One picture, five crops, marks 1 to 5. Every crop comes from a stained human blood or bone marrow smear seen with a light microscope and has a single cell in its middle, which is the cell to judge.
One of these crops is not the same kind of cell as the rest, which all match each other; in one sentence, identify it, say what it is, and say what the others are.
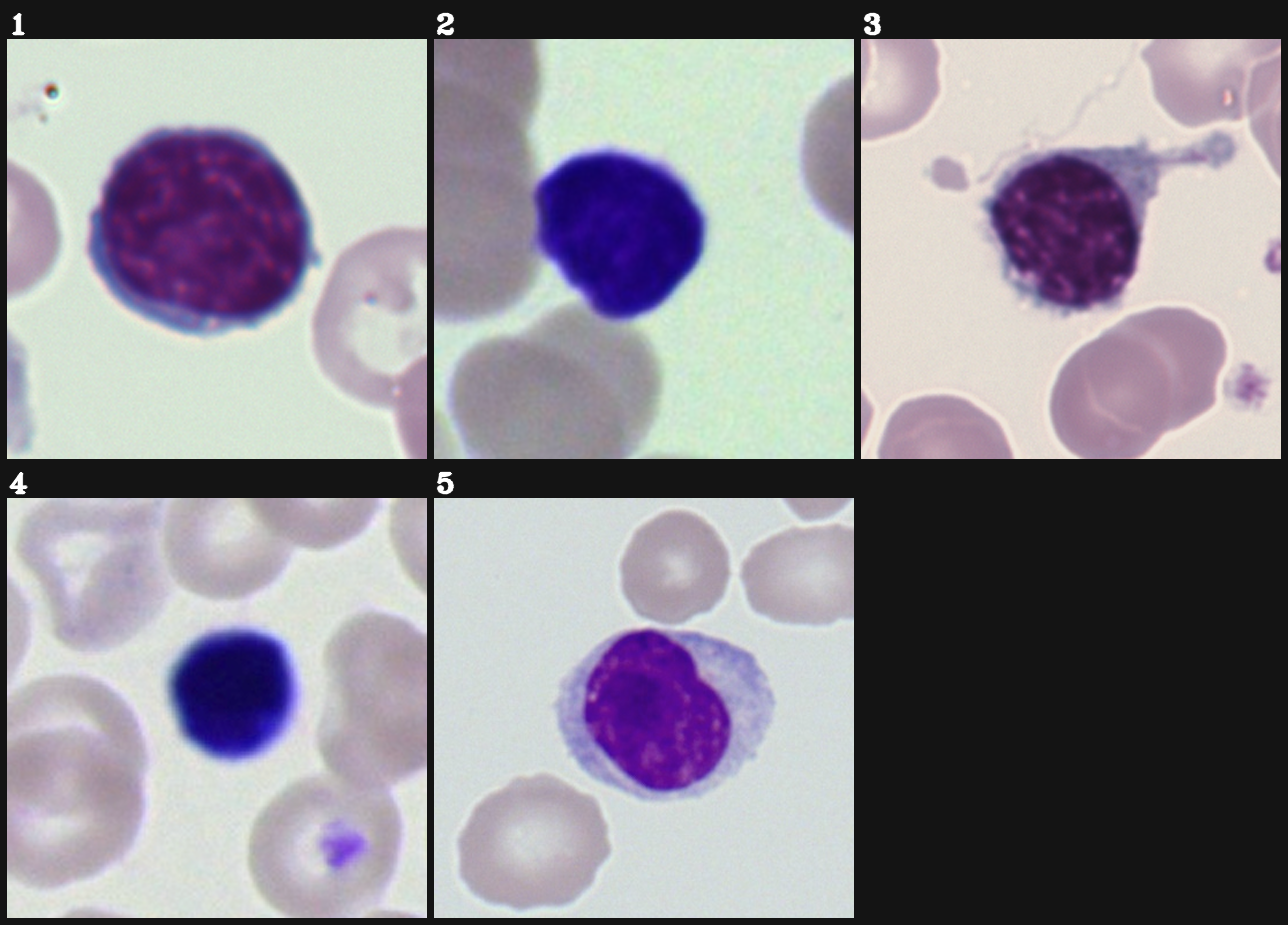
Although the other crops all show lymphocytes, crop 3 shows a normoblast.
